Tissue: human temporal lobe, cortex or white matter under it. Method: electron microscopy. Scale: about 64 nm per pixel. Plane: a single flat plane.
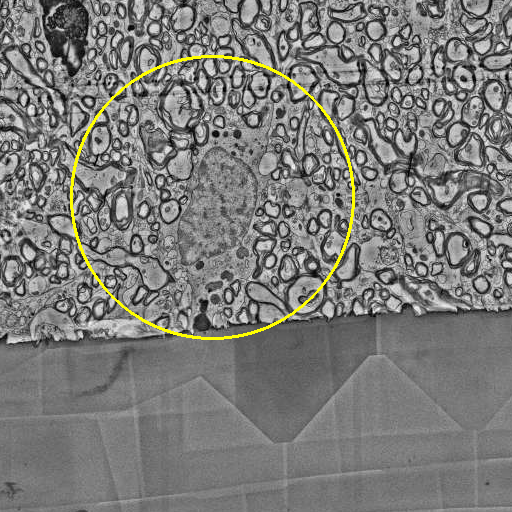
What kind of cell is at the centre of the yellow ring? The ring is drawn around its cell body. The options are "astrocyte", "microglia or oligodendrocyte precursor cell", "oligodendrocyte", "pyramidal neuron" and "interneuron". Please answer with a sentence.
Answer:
The yellow ring marks the cell body of an oligodendrocyte.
